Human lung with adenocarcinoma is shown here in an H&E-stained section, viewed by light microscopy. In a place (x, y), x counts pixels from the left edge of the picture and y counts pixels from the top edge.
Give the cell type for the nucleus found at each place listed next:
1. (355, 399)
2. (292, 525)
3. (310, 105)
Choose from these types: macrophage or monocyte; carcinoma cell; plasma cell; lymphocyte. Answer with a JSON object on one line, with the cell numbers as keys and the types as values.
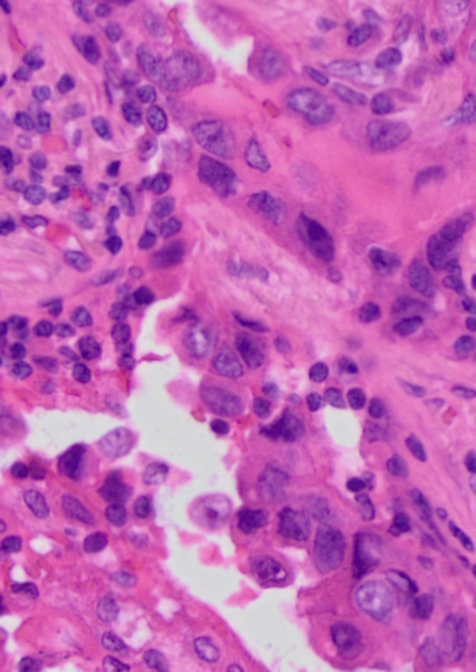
{"1": "lymphocyte", "2": "carcinoma cell", "3": "carcinoma cell"}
